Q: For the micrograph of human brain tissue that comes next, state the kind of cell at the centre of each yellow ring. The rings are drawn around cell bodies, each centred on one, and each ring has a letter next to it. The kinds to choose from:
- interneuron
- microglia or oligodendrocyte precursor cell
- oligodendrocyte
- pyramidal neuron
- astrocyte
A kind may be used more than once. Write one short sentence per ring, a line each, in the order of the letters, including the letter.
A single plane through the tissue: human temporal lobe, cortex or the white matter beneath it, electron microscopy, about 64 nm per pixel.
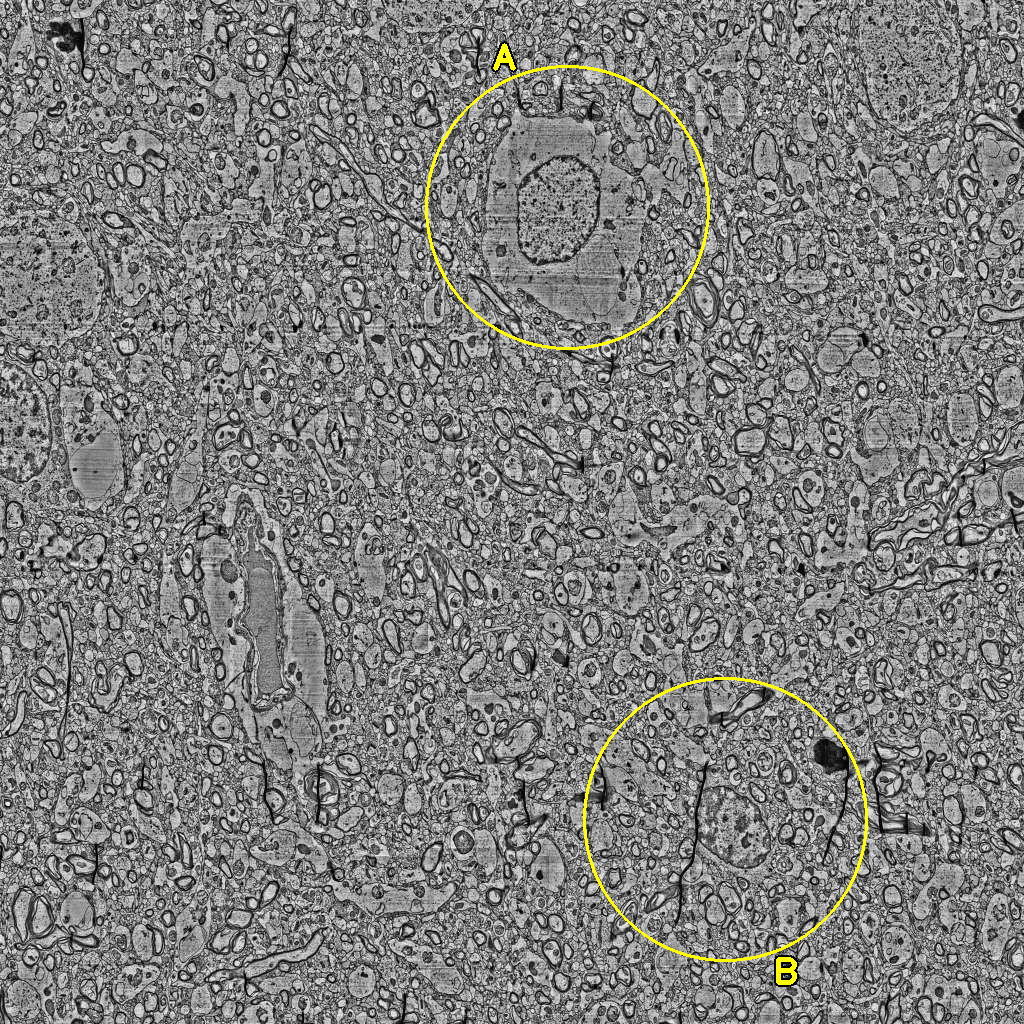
The cell ringed as A is an astrocyte.
The cell ringed as B is an oligodendrocyte.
